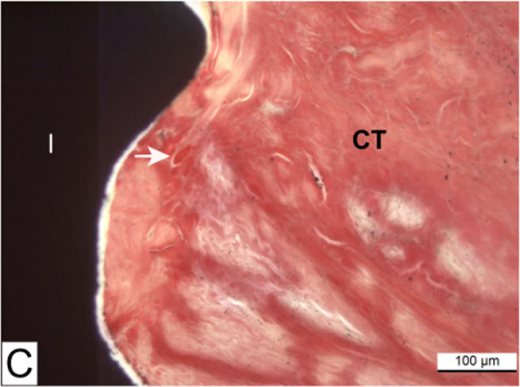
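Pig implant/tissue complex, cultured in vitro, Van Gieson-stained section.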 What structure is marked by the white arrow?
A: Thick collagen fibers.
